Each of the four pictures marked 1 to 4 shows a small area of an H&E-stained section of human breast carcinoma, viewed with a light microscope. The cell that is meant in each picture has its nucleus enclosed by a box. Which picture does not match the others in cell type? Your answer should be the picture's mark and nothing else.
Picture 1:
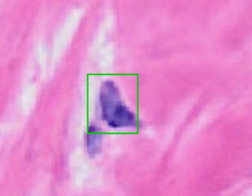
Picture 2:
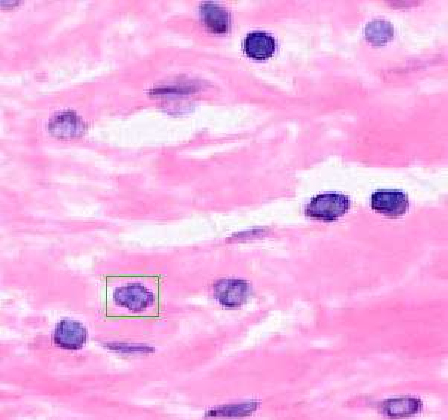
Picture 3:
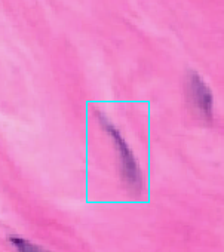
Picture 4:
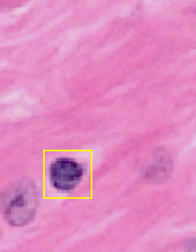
3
